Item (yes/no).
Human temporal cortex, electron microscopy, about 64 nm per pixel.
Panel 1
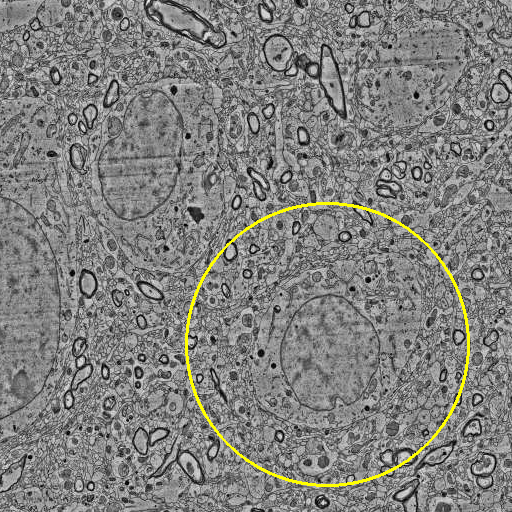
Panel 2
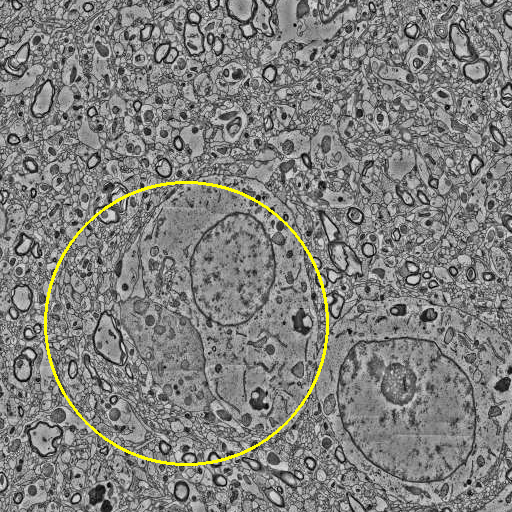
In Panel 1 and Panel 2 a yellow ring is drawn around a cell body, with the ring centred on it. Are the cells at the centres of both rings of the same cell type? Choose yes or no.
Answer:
no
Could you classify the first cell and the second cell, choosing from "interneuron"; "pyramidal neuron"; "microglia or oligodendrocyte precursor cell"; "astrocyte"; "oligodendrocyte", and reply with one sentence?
The second cell is an oligodendrocyte, while the first is a pyramidal neuron.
